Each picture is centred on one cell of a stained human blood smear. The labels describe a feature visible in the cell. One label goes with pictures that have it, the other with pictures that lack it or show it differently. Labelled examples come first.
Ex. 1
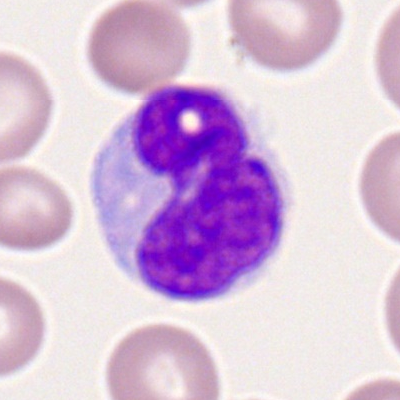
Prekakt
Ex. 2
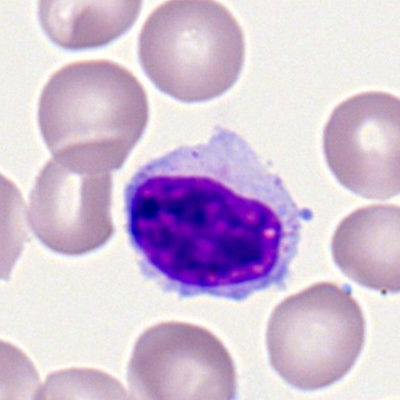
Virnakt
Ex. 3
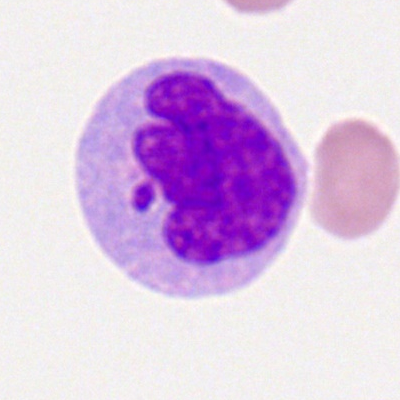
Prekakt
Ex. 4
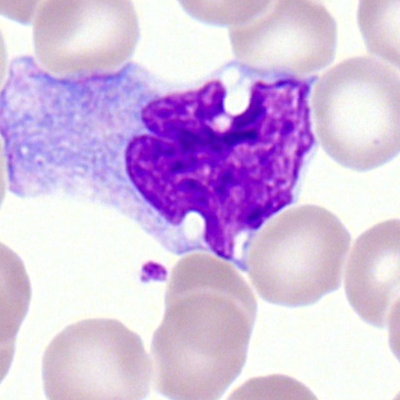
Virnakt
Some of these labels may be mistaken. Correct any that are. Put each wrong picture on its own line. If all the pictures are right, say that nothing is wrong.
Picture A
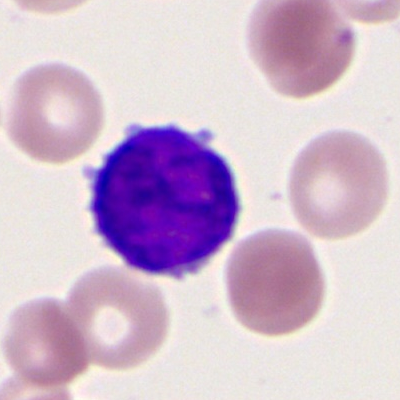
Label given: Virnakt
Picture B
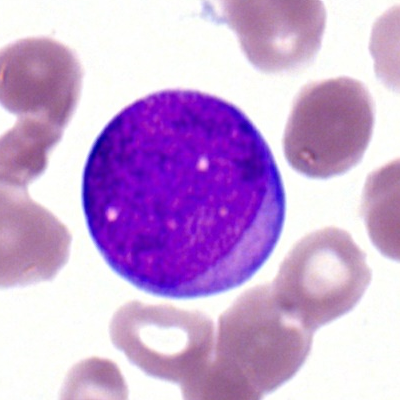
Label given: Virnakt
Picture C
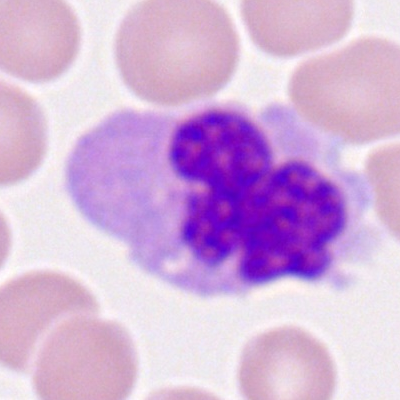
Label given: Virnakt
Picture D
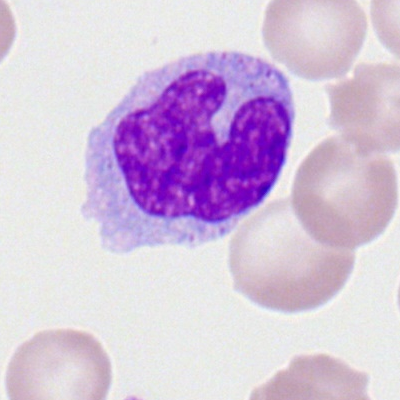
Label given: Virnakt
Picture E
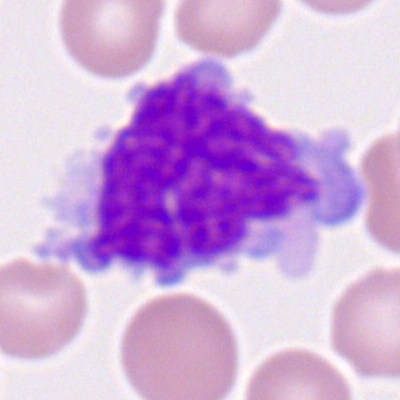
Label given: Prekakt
B is labelled Virnakt; correct label: Prekakt
E is labelled Prekakt; correct label: Virnakt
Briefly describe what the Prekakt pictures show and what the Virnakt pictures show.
In Prekakt: smooth outline. In Virnakt: ragged outline or projections.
